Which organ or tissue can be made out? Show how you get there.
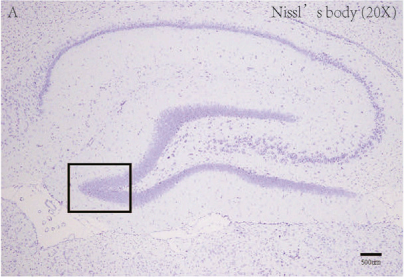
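A curved, C-shaped band of densely packed violet-stained cells. A second, V-shaped dense cell band nested inside the open end of the curve. Paler, sparsely cellular tissue between and around the bands. The answer: hippocampus.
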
